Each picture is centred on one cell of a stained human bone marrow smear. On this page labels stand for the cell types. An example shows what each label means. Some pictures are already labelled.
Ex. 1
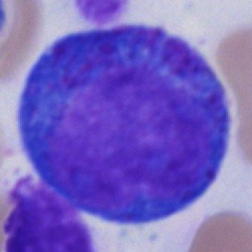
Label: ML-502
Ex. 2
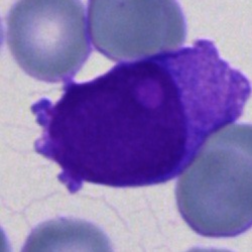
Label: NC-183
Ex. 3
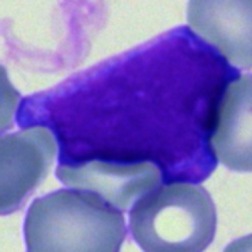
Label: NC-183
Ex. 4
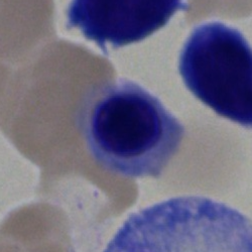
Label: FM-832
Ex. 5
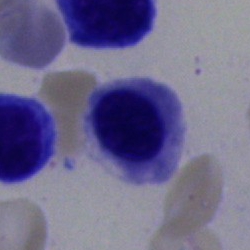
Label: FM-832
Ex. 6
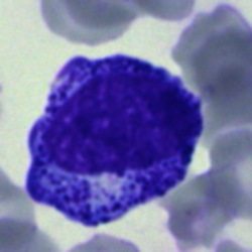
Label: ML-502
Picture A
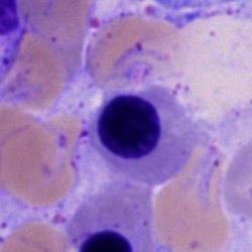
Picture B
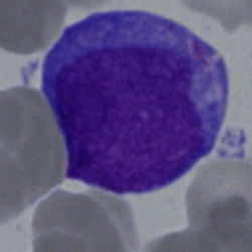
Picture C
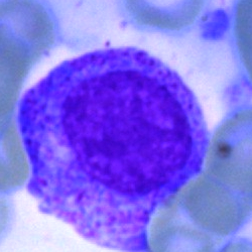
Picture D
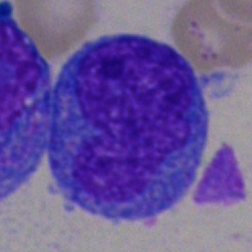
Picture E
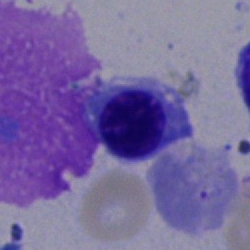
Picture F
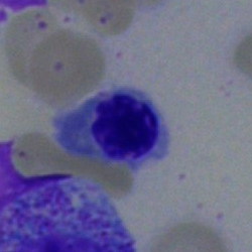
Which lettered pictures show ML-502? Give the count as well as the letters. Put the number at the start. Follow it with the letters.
1: C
